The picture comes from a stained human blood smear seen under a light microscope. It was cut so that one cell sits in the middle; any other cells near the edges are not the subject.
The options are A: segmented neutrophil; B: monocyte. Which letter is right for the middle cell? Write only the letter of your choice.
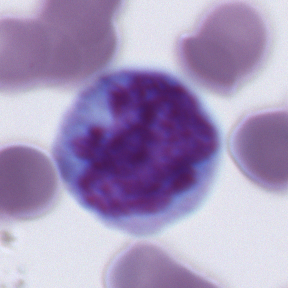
B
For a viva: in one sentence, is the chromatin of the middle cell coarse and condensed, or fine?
Here the nuclear chromatin is coarsely clumped.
